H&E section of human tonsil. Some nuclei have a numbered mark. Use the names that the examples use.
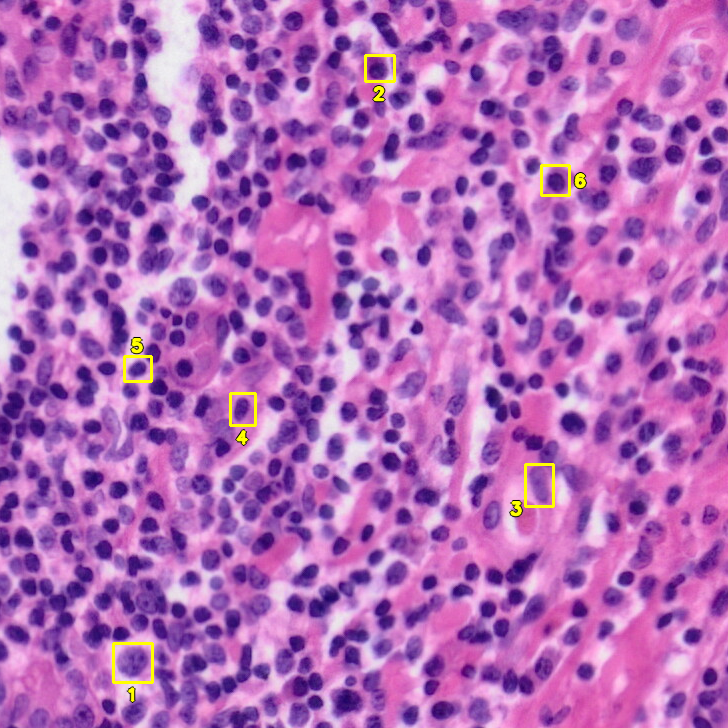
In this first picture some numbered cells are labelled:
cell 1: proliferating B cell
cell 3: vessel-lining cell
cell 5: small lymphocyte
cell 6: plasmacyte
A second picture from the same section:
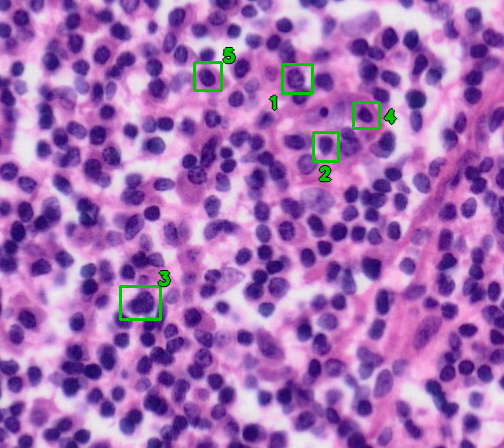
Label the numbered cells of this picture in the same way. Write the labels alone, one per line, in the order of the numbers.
plasmacyte
vessel-lining cell
proliferating B cell
vessel-lining cell
plasmacyte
